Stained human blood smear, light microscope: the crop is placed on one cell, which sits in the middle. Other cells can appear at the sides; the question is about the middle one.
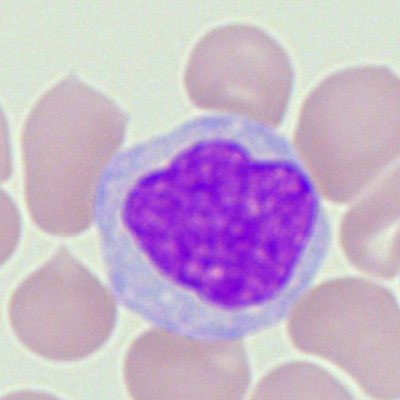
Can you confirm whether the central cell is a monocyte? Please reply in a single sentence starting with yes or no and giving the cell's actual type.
Yes, the cell placed centrally within the crop is a monocyte.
